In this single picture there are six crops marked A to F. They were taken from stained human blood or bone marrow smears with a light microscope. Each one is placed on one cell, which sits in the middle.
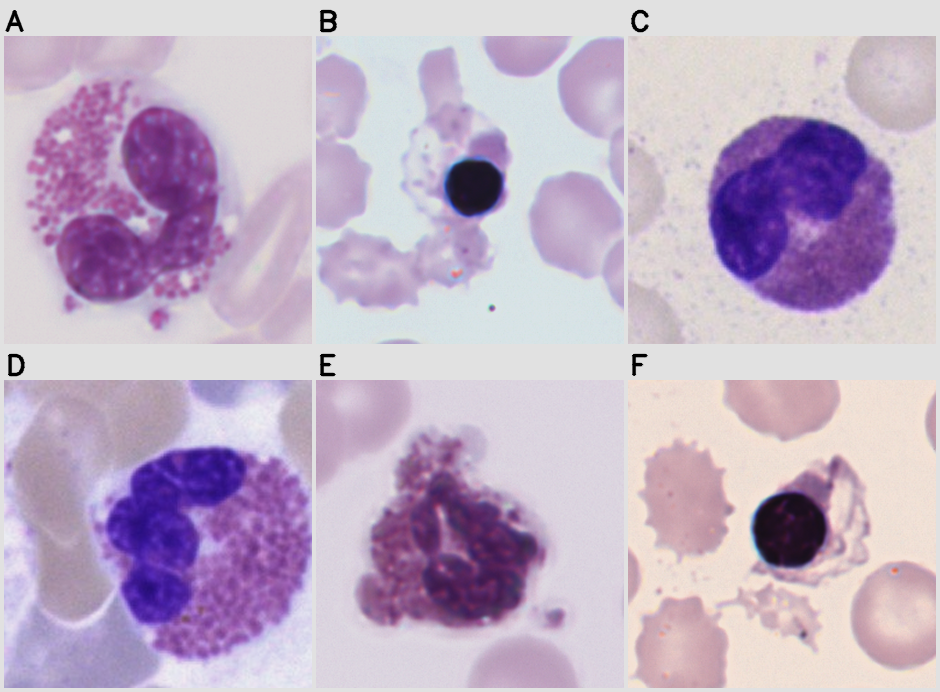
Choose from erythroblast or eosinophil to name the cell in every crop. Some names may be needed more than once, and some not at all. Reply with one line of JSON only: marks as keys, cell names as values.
{"A": "eosinophil", "B": "erythroblast", "C": "eosinophil", "D": "eosinophil", "E": "eosinophil", "F": "erythroblast"}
